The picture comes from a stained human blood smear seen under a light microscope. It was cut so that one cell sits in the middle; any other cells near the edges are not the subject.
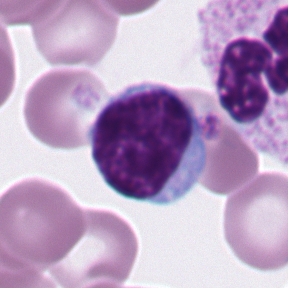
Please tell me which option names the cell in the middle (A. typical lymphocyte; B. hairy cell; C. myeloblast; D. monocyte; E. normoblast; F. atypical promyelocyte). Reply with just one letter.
A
